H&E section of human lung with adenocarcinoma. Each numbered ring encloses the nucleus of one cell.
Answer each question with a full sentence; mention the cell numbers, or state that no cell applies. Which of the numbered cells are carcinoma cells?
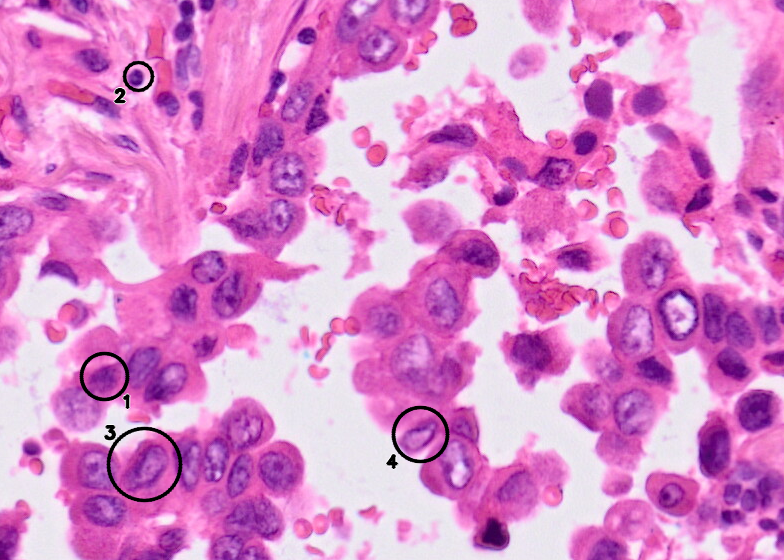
Cells 1, 3 and 4 are of one type, namely carcinoma cells.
